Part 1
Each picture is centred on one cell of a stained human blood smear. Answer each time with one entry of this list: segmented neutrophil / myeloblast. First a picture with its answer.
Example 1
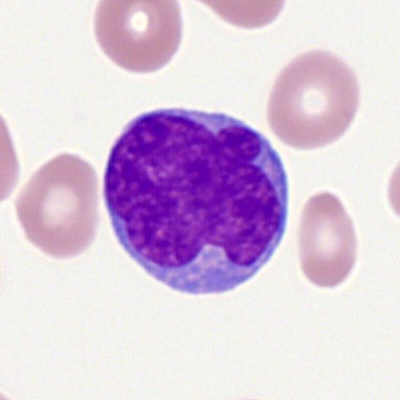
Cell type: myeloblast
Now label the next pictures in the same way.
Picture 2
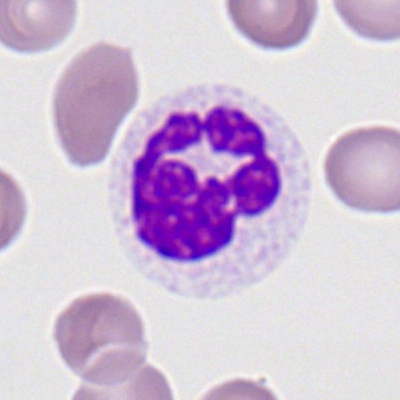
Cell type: segmented neutrophil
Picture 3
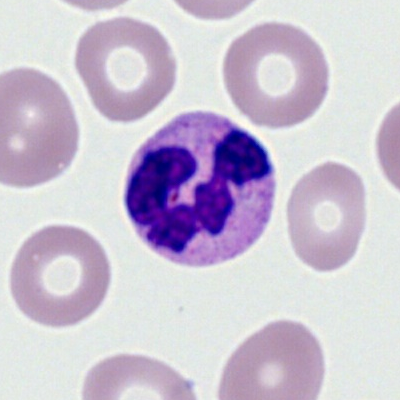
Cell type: segmented neutrophil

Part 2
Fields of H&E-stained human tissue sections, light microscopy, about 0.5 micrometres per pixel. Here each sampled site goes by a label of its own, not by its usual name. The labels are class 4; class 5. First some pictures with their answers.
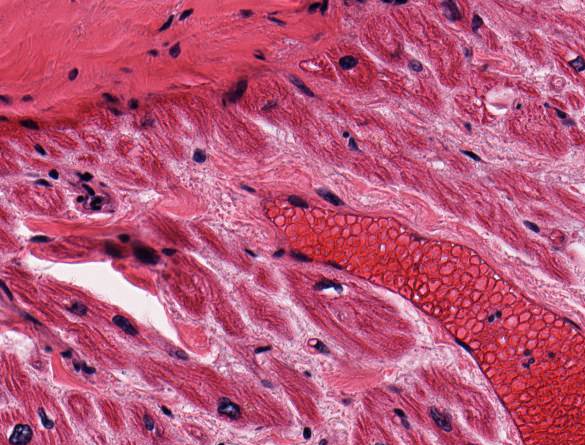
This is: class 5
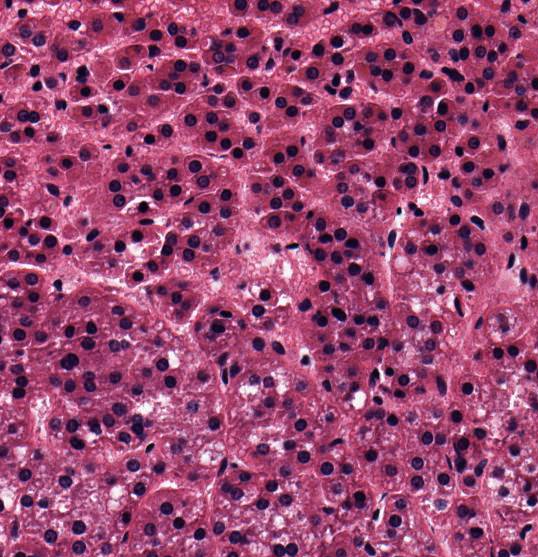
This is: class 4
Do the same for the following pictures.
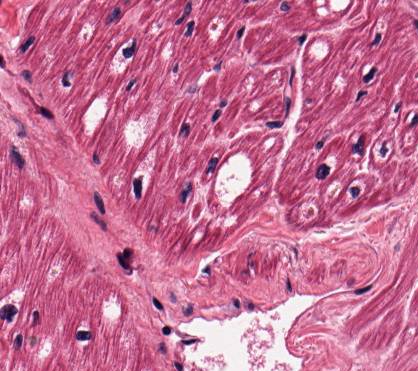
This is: class 5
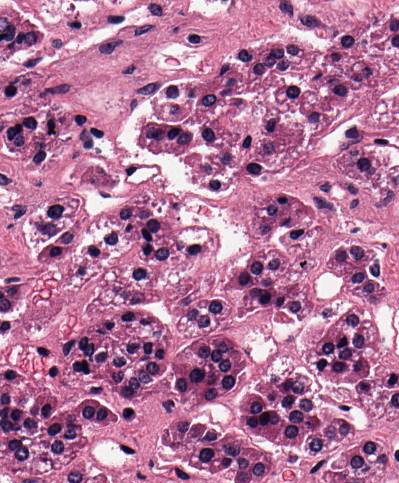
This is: class 4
